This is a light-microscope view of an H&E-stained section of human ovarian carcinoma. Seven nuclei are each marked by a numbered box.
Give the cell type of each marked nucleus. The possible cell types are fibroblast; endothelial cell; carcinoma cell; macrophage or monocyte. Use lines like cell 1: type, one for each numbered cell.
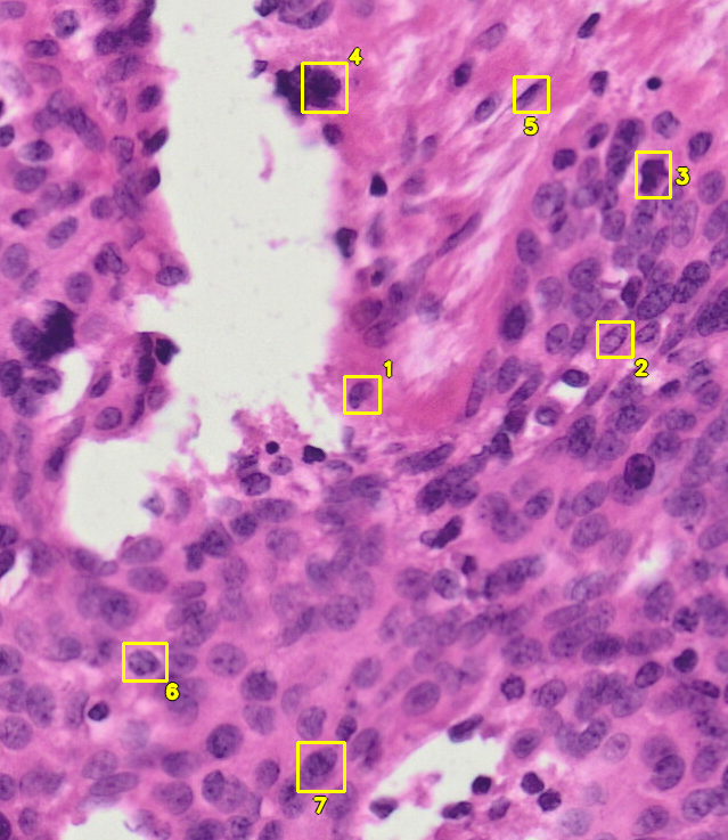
cell 1: macrophage or monocyte
cell 2: macrophage or monocyte
cell 3: carcinoma cell
cell 4: carcinoma cell
cell 5: fibroblast
cell 6: macrophage or monocyte
cell 7: carcinoma cell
